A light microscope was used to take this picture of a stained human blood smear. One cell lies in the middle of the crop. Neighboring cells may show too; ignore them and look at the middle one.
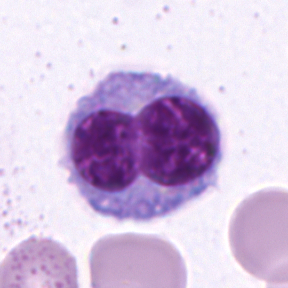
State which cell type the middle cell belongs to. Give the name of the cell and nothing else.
plasma cell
